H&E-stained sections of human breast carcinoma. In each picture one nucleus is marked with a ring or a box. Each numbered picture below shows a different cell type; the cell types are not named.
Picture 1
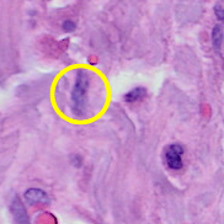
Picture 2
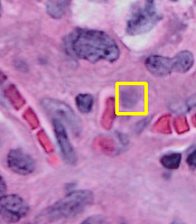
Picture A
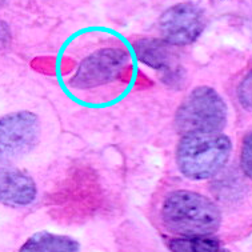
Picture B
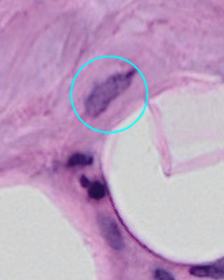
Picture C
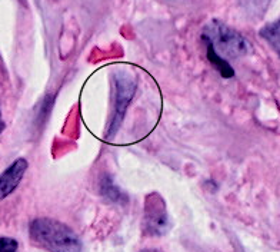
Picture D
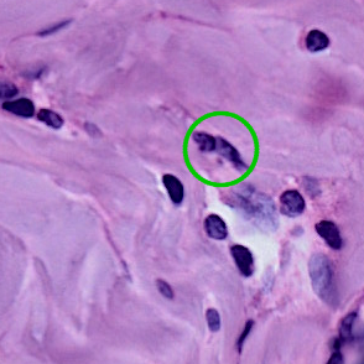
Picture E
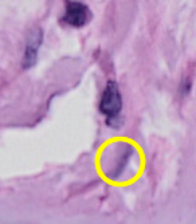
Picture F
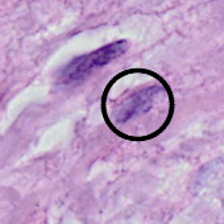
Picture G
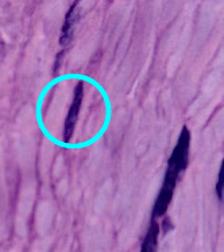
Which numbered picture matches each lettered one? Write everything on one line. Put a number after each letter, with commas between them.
A 2, B 1, C 2, D 1, E 1, F 1, G 1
